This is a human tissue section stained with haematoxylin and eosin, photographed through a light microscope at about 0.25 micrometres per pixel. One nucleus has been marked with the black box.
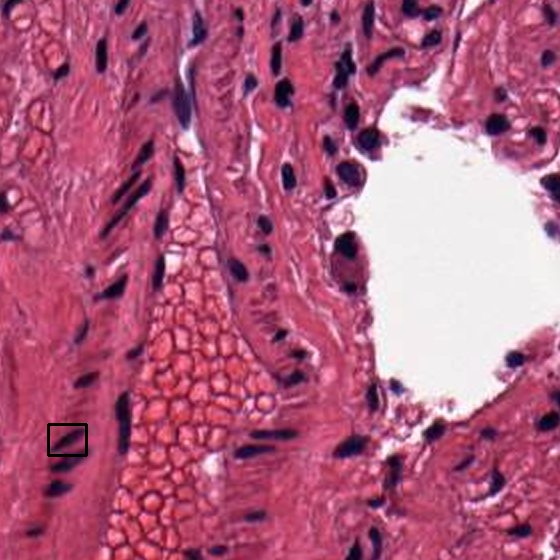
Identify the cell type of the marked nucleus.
smooth muscle cell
